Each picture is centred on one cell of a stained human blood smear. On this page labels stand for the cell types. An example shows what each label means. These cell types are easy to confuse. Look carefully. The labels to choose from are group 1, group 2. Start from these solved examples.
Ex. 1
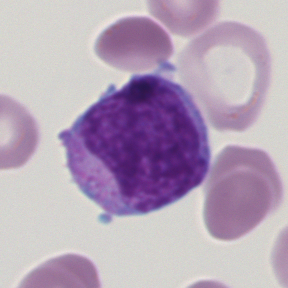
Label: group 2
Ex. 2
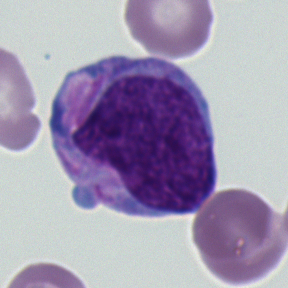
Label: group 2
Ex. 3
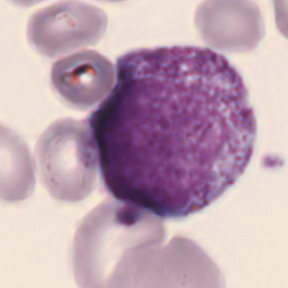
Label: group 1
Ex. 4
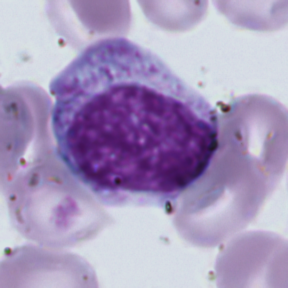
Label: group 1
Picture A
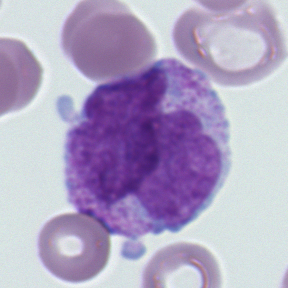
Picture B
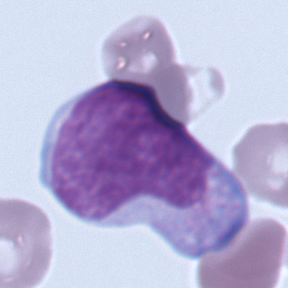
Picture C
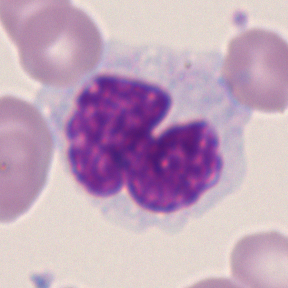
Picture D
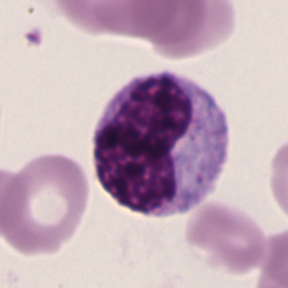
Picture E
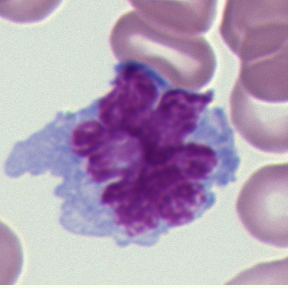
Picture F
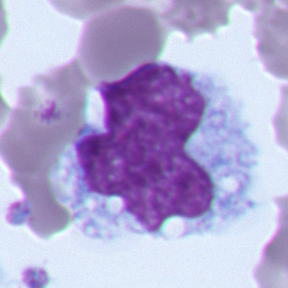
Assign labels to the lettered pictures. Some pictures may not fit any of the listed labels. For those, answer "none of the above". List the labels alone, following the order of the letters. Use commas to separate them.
group 2, group 2, none of the above, none of the above, none of the above, none of the above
